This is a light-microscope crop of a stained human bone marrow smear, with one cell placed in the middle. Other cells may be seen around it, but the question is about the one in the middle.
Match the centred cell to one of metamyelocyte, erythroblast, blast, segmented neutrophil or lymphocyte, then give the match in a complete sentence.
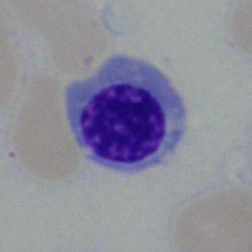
Answering briefly, the cell in the middle is an erythroblast.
